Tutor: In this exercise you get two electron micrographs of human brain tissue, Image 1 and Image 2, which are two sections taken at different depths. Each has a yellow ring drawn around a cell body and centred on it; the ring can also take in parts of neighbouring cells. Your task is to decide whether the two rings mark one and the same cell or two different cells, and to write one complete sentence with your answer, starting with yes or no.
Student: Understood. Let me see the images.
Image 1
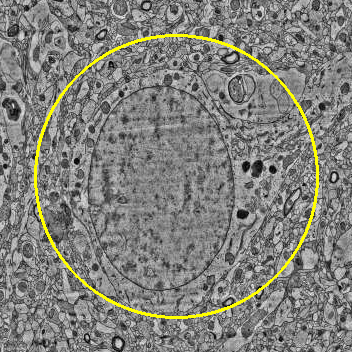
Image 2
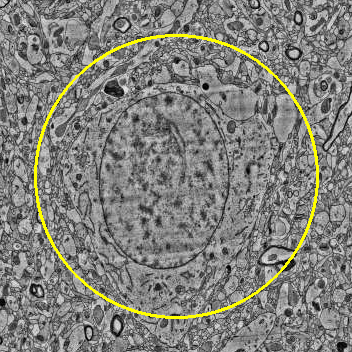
Yes, a single cell is marked twice, once by each yellow ring.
